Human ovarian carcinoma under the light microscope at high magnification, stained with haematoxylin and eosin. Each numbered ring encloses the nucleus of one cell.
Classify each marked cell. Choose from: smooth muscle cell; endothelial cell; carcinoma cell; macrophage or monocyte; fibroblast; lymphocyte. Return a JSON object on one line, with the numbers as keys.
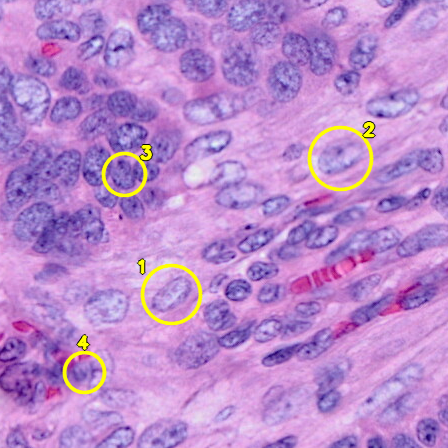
{"1": "fibroblast", "2": "fibroblast", "3": "carcinoma cell", "4": "endothelial cell"}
